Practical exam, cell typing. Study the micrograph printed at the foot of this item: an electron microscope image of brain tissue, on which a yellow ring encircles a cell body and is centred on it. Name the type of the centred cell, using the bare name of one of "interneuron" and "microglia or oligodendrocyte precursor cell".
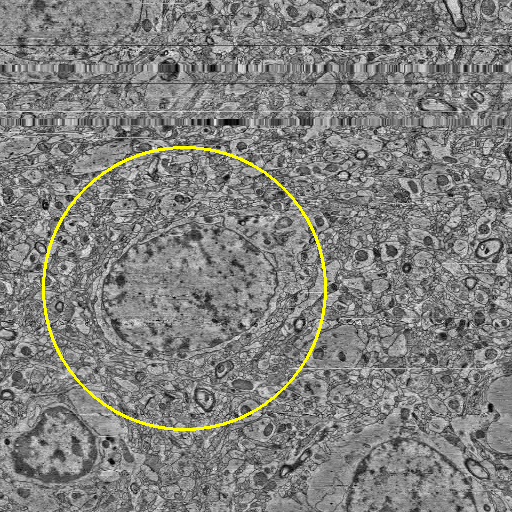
interneuron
